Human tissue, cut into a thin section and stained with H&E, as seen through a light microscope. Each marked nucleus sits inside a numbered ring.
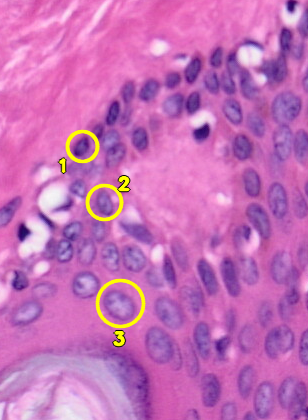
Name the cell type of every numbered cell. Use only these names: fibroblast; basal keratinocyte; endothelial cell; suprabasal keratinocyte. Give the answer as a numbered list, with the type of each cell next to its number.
1. basal keratinocyte
2. basal keratinocyte
3. suprabasal keratinocyte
